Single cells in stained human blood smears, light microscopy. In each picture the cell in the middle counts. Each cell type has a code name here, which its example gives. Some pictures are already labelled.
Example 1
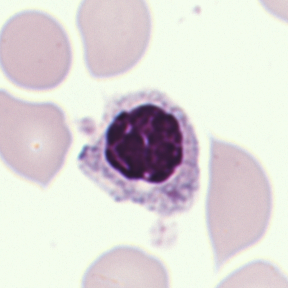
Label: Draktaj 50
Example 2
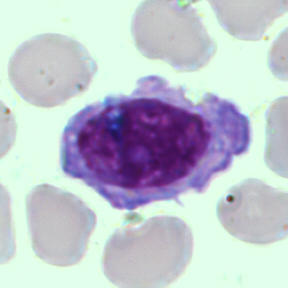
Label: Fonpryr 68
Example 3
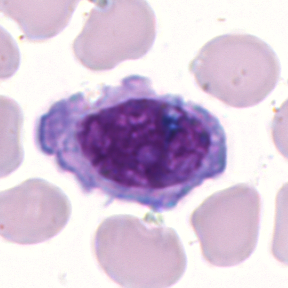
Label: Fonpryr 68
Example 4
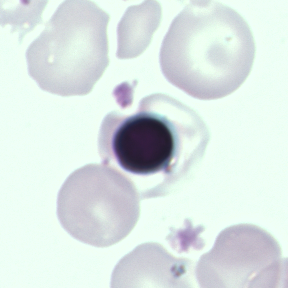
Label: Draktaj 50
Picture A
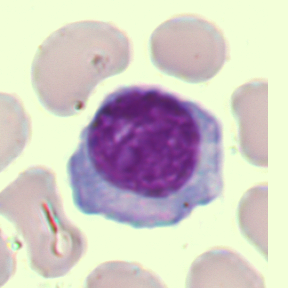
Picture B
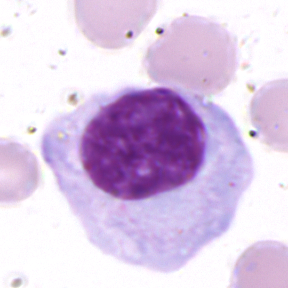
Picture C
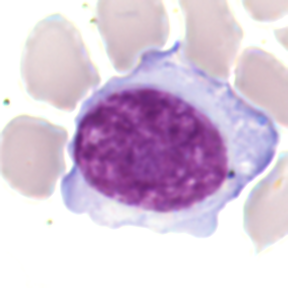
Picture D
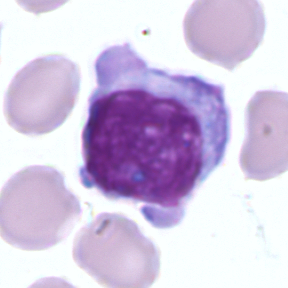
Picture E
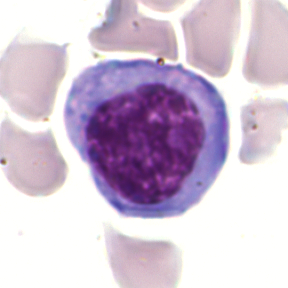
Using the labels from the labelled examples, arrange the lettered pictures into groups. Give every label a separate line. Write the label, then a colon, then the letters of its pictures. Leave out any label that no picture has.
Fonpryr 68: A, B, C, D, E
